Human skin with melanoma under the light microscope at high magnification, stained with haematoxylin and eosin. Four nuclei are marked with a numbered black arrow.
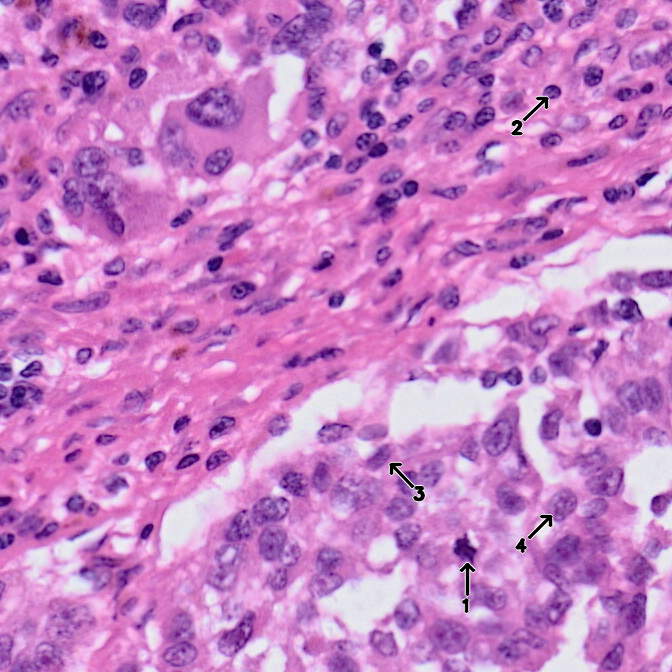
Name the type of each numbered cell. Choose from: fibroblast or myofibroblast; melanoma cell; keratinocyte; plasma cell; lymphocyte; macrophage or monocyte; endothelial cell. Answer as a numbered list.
1. melanoma cell
2. lymphocyte
3. melanoma cell
4. melanoma cell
